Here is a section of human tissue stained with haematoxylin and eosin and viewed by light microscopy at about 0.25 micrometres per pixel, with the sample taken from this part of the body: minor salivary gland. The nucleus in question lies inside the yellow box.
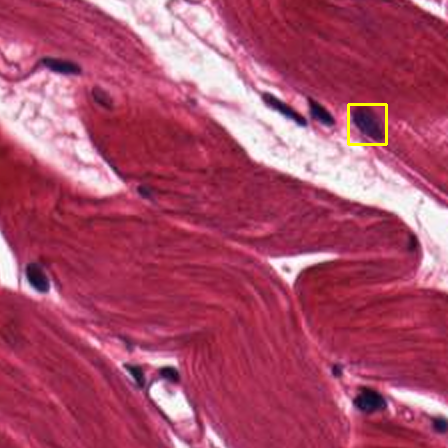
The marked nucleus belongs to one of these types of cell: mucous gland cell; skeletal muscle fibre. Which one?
skeletal muscle fibre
